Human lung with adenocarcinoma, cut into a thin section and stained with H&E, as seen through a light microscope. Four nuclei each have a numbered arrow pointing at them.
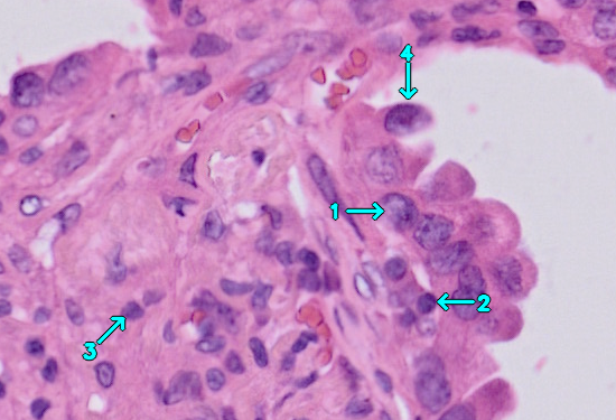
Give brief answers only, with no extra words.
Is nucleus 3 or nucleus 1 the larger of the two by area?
1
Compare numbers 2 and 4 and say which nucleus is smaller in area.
2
